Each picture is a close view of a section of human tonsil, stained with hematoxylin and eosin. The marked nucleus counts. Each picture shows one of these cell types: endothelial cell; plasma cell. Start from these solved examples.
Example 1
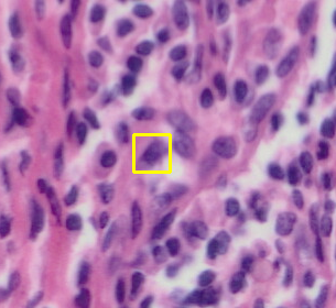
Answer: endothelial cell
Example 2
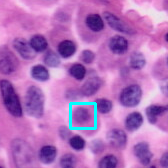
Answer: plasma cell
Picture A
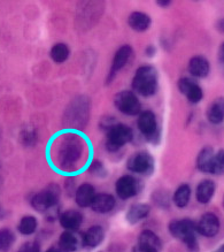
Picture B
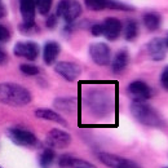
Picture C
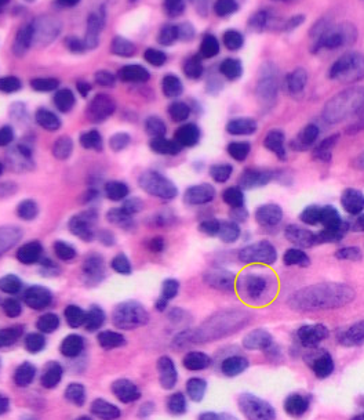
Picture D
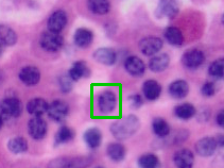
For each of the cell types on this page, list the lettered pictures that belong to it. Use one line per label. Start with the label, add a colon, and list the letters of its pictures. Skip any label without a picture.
endothelial cell: A, B, C
plasma cell: D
